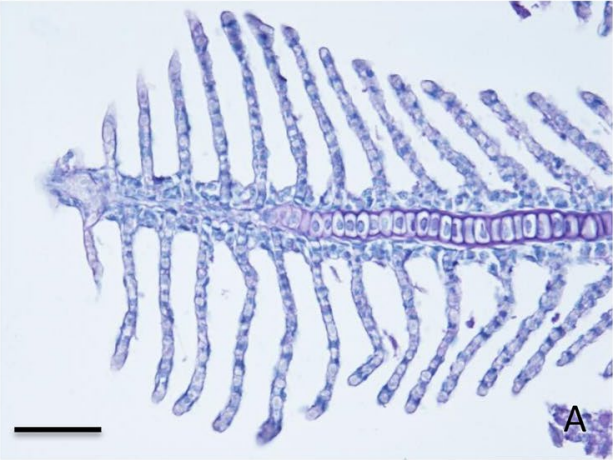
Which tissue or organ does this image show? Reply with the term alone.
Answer: Gill lamellae.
